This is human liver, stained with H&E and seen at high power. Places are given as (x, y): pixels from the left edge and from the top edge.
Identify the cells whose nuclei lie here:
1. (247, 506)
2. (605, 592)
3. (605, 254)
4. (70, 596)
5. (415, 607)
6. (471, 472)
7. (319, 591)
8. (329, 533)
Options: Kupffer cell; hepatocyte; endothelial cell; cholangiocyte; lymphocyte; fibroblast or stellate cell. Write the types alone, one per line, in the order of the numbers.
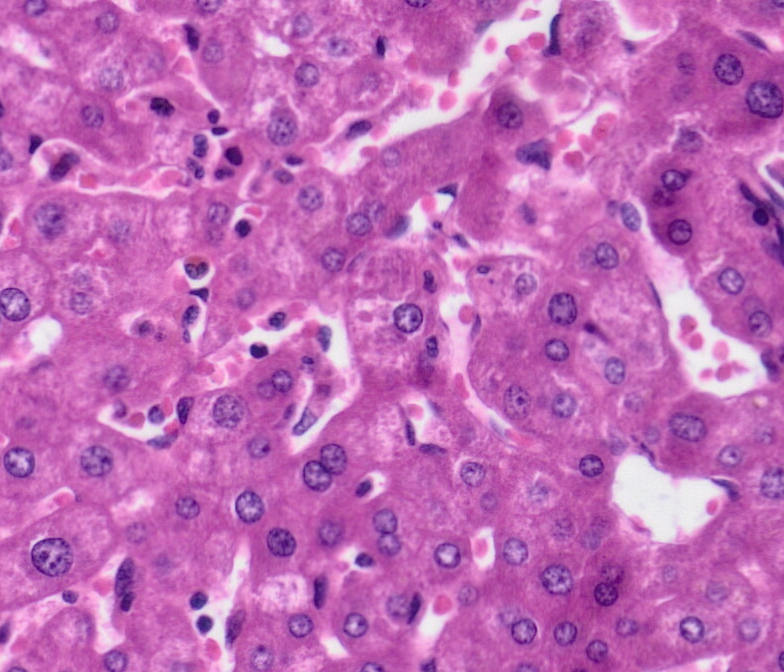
hepatocyte
hepatocyte
hepatocyte
lymphocyte
fibroblast or stellate cell
hepatocyte
fibroblast or stellate cell
hepatocyte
